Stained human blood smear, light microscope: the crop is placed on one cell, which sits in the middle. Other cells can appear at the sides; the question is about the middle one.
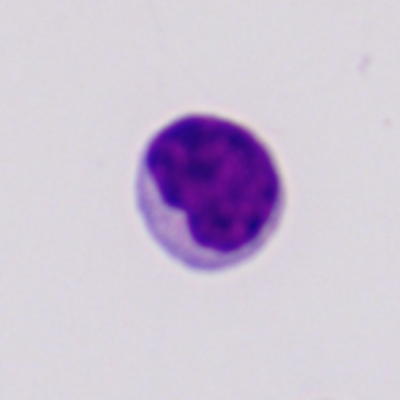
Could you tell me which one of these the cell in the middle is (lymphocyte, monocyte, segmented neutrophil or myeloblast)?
lymphocyte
